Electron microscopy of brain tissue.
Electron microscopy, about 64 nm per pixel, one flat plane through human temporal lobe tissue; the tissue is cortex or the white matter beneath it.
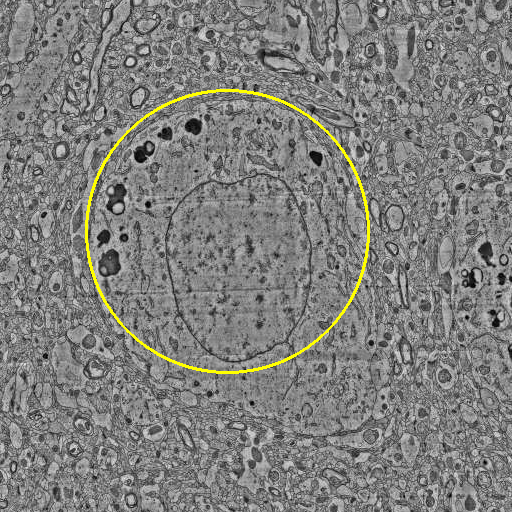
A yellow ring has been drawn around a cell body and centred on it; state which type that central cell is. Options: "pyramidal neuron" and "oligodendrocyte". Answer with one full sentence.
The cell at the middle of the yellow ring is a pyramidal neuron in this picture.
